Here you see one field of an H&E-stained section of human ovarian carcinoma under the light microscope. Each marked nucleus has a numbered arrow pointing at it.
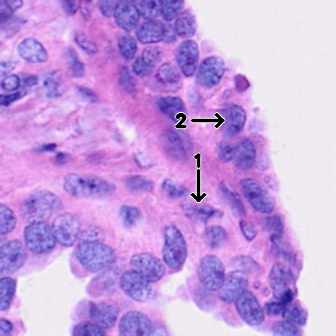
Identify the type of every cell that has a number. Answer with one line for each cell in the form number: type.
1: fibroblast
2: carcinoma cell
